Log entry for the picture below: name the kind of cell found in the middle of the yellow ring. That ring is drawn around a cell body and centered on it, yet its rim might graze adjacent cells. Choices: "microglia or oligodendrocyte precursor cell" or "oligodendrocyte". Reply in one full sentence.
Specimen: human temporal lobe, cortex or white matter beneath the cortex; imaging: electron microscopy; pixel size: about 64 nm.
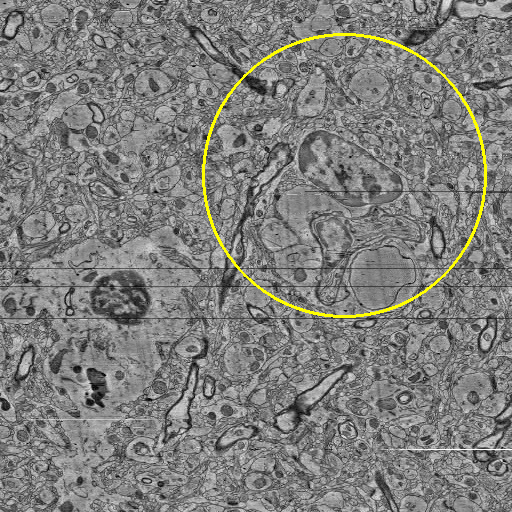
The cell in the middle of the yellow ring in this picture is a microglial cell or oligodendrocyte precursor cell.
